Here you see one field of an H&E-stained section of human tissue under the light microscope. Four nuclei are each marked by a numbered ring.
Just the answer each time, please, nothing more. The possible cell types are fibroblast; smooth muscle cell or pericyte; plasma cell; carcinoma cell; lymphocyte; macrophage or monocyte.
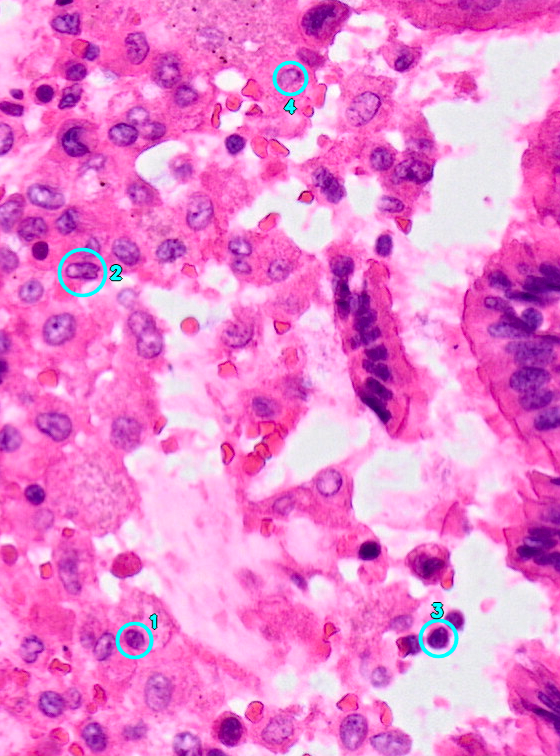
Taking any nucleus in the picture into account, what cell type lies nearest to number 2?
macrophage or monocyte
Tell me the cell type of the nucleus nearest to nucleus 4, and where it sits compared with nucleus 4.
a macrophage or monocyte, above and to the right of nucleus 4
